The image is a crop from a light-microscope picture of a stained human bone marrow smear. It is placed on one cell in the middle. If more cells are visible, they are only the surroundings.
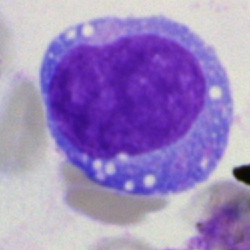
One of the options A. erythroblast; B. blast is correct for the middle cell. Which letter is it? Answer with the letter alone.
B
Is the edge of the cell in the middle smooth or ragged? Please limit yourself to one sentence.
No projections interrupt the outline; it is smooth all the way round.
